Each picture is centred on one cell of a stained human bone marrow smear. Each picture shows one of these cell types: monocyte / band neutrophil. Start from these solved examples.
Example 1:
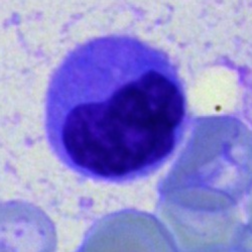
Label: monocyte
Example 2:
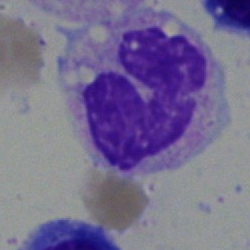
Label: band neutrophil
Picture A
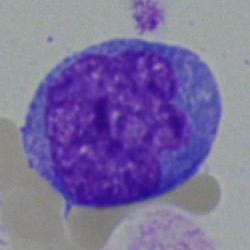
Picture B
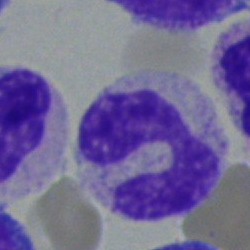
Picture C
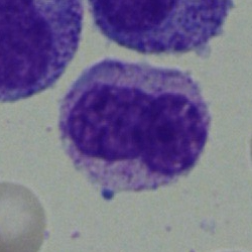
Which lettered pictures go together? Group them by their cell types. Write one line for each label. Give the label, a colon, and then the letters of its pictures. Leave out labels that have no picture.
monocyte: A
band neutrophil: B, C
